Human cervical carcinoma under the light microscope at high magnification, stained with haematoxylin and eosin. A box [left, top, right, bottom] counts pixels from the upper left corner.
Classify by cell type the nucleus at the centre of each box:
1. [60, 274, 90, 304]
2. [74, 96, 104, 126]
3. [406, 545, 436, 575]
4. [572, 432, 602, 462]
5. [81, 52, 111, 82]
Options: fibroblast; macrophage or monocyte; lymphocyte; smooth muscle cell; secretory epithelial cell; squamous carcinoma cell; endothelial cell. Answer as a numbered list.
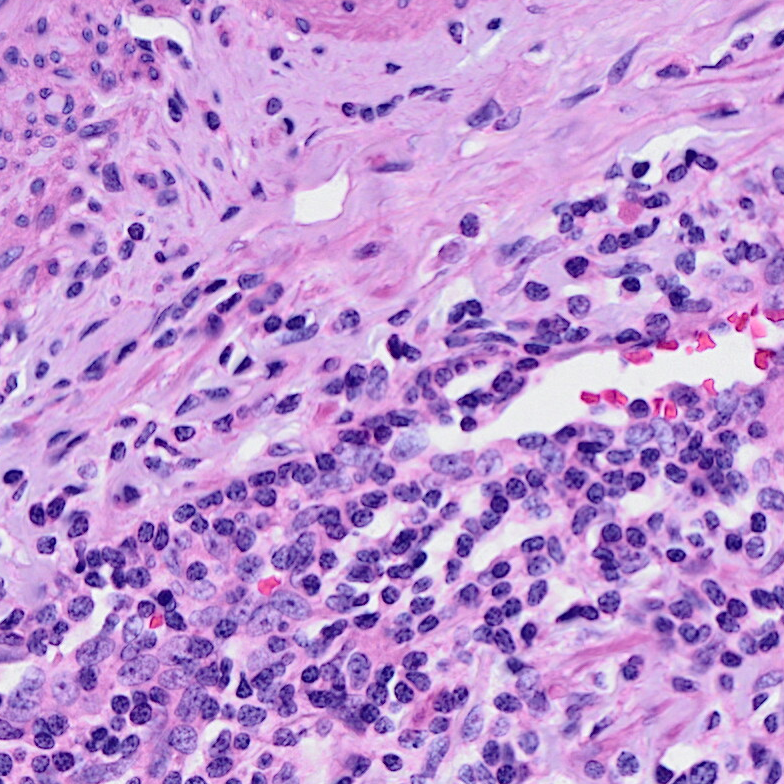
1. lymphocyte
2. smooth muscle cell
3. lymphocyte
4. lymphocyte
5. smooth muscle cell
